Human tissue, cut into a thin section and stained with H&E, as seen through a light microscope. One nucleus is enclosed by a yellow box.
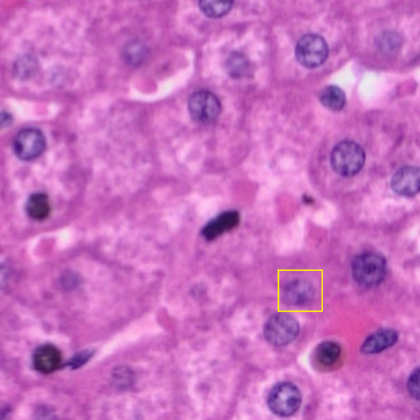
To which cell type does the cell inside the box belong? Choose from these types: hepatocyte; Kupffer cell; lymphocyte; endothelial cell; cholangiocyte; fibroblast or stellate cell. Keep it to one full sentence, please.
To be brief about it, the cell inside the box is a hepatocyte.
